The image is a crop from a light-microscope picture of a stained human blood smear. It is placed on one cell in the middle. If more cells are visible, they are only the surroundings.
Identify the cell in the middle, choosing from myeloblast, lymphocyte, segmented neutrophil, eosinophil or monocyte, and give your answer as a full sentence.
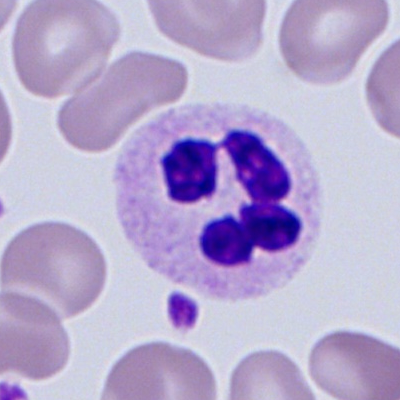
In this smear crop, the middle cell is a segmented neutrophil.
